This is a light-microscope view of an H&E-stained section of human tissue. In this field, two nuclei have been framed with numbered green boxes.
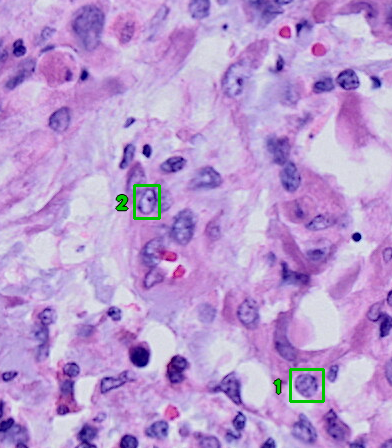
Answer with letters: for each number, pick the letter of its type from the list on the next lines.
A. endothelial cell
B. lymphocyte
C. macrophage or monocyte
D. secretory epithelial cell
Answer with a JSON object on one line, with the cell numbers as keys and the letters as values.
{"1": "C", "2": "A"}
